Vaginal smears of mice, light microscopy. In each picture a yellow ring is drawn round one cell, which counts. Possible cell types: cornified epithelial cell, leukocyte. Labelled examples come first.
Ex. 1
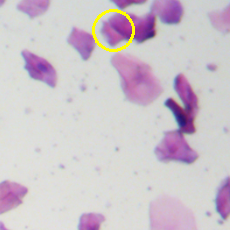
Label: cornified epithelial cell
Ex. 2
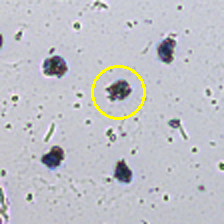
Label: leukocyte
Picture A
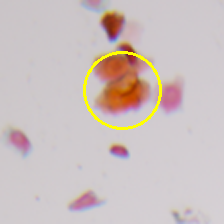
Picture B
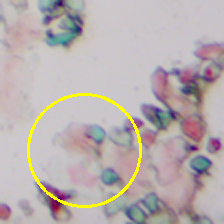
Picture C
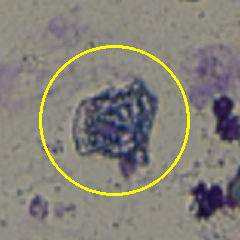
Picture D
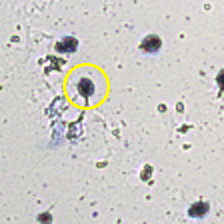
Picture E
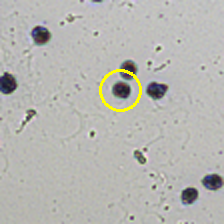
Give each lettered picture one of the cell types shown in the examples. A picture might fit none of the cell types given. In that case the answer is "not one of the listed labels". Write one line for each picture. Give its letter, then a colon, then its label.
A: cornified epithelial cell
B: cornified epithelial cell
C: cornified epithelial cell
D: leukocyte
E: leukocyte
